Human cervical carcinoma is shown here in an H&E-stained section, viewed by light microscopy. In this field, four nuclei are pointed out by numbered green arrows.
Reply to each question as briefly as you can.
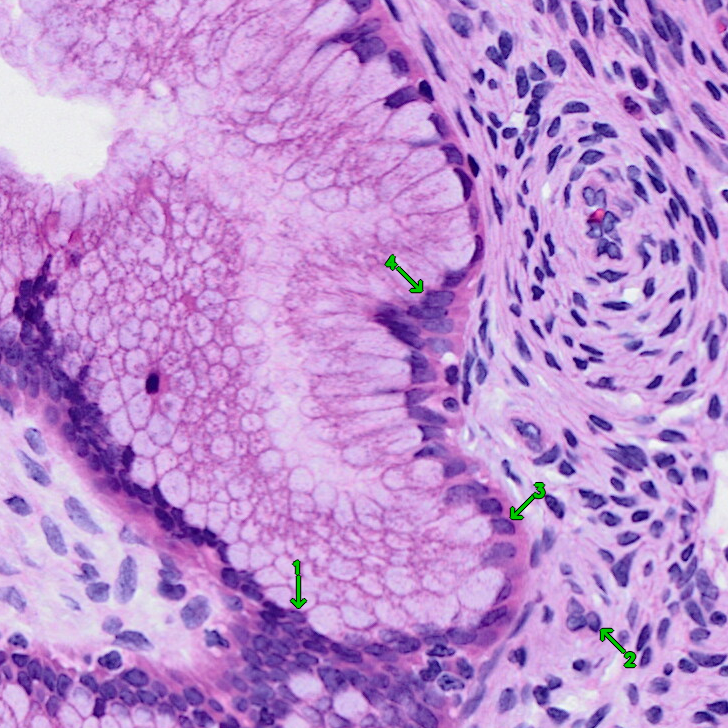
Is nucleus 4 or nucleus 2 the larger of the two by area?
4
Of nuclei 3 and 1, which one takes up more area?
3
